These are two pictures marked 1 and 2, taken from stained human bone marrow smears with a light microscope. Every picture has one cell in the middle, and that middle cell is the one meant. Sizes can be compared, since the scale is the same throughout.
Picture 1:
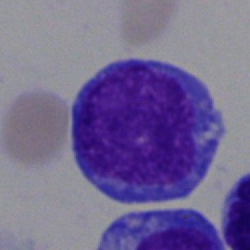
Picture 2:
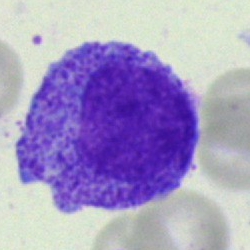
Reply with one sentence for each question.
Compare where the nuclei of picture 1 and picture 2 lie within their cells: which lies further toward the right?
The nucleus in picture 2 lies further toward the right of its cell.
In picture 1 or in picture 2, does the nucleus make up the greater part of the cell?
In picture 1 the nucleus takes up the larger part of its cell.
